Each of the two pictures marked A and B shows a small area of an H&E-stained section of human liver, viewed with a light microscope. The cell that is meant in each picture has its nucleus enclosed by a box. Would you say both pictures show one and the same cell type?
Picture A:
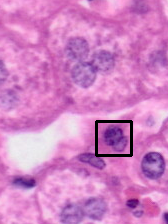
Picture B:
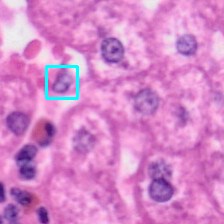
yes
